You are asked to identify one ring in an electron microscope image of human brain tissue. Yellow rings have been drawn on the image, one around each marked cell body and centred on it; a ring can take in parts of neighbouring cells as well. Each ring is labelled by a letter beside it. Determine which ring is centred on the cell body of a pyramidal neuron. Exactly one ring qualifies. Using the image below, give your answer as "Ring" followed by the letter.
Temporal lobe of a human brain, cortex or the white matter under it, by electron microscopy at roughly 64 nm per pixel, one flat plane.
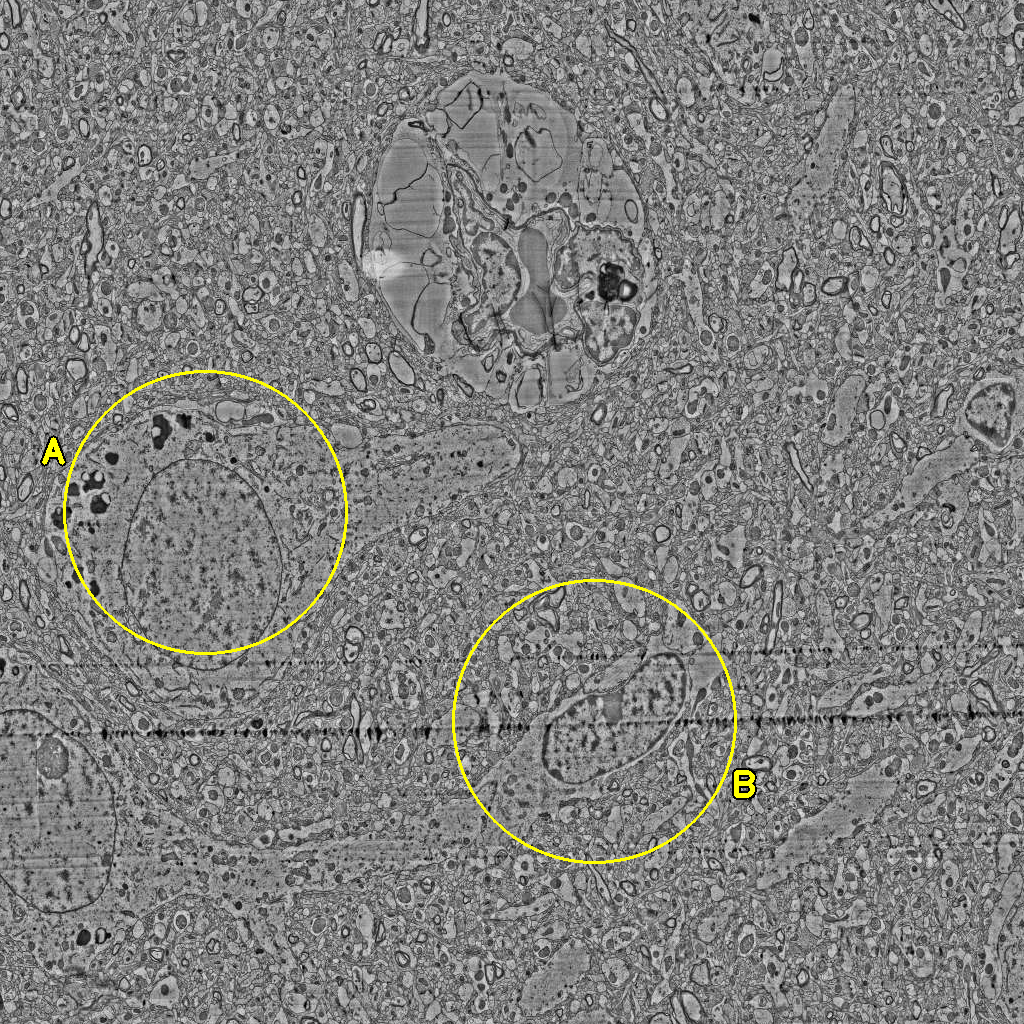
Ring A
